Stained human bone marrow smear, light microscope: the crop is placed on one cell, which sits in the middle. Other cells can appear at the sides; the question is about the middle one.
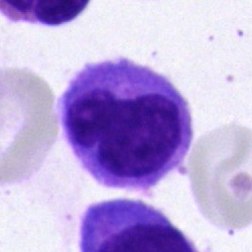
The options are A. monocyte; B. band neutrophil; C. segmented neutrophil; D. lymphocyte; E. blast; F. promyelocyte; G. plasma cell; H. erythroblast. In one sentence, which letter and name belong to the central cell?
The correct response is option A, naming the cell in the middle as a monocyte.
